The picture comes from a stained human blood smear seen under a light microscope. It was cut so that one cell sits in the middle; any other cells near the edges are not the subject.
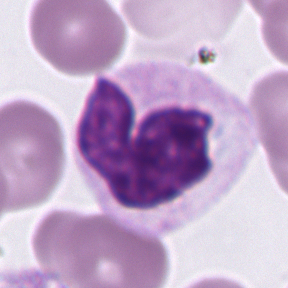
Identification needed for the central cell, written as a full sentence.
Classification of the middle cell gives a band neutrophil.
